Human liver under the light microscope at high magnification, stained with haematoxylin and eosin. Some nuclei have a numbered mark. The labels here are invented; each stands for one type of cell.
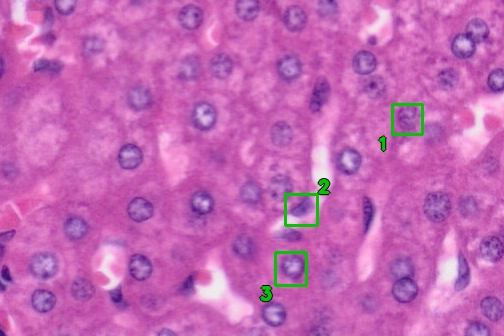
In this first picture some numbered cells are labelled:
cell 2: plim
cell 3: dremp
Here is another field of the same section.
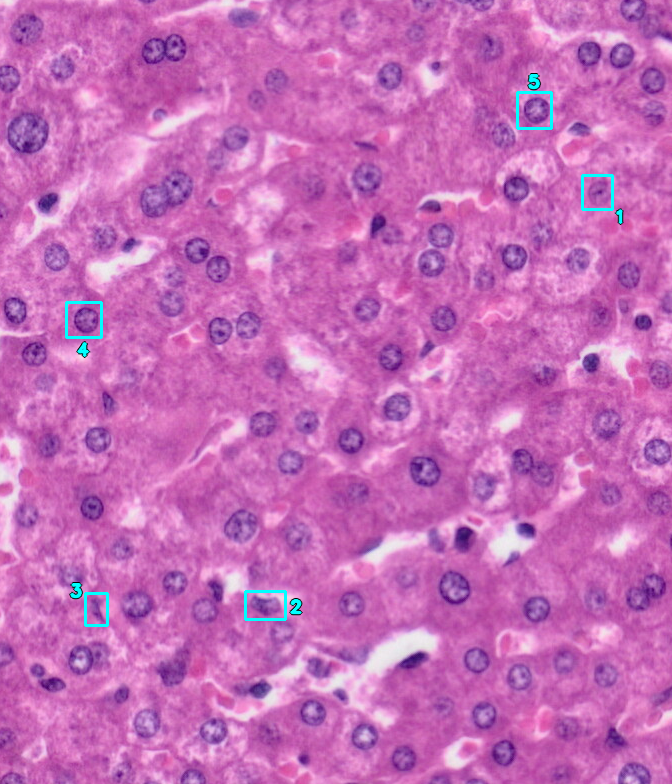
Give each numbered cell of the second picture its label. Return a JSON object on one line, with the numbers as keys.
{"1": "dremp", "2": "plim", "3": "plim", "4": "dremp", "5": "dremp"}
